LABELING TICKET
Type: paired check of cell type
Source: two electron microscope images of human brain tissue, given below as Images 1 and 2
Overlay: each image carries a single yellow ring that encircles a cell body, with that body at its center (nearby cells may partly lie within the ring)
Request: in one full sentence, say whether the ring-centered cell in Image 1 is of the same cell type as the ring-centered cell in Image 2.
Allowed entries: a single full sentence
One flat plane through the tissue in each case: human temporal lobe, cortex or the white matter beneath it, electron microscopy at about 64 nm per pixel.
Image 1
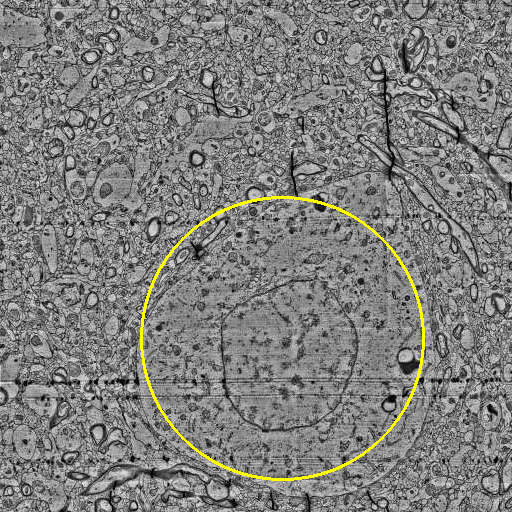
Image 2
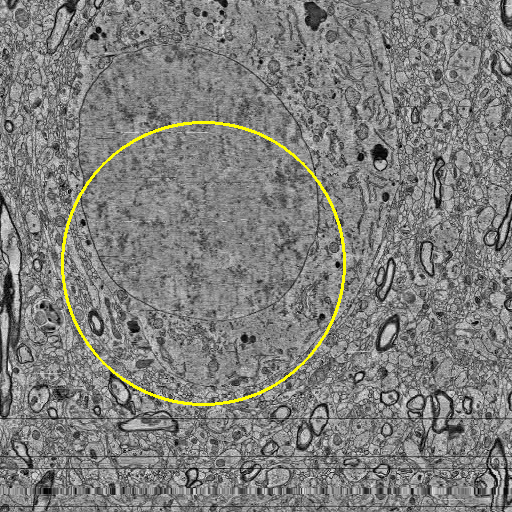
Yes, the cells centered in the rings of Image 1 and Image 2 share one type.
